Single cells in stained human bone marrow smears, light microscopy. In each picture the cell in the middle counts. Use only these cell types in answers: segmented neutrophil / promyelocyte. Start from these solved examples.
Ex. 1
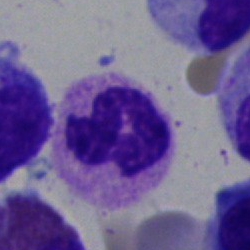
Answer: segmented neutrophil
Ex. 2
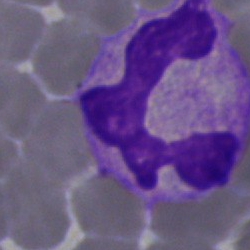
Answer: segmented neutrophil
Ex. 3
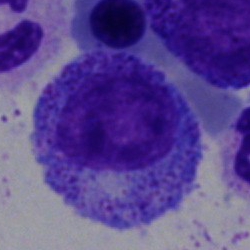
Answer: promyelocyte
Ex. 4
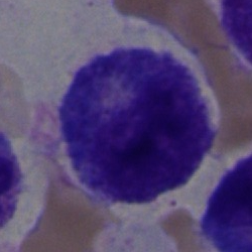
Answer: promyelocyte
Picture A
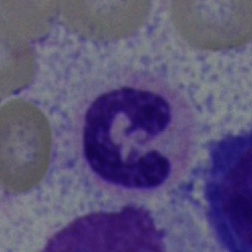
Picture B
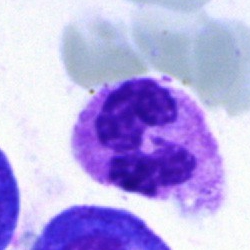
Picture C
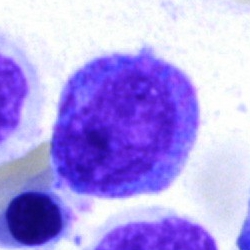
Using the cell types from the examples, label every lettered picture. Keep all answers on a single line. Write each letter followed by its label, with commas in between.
A segmented neutrophil, B segmented neutrophil, C promyelocyte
